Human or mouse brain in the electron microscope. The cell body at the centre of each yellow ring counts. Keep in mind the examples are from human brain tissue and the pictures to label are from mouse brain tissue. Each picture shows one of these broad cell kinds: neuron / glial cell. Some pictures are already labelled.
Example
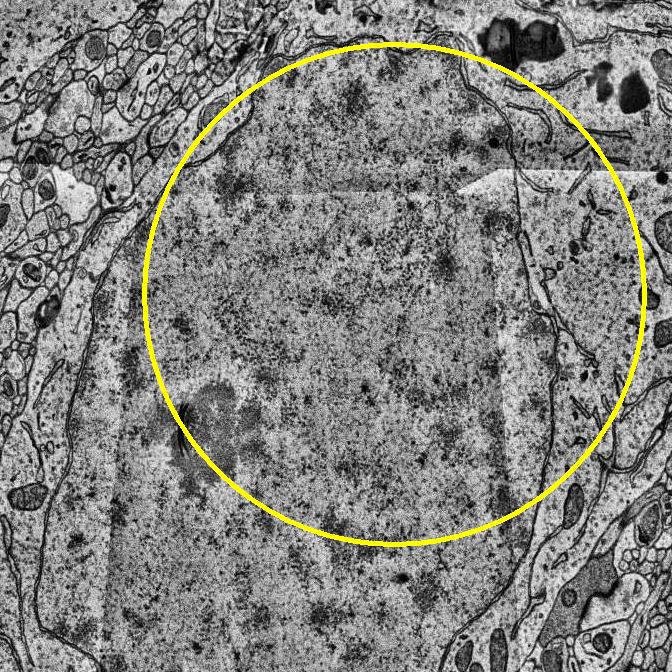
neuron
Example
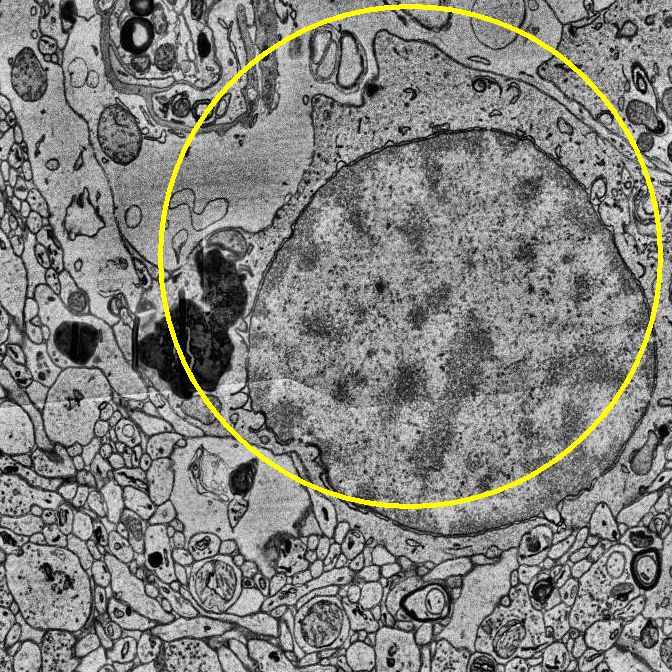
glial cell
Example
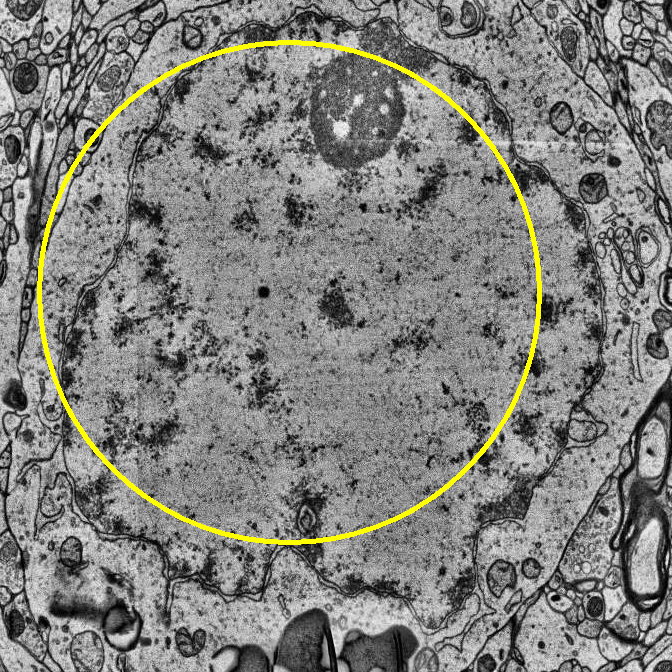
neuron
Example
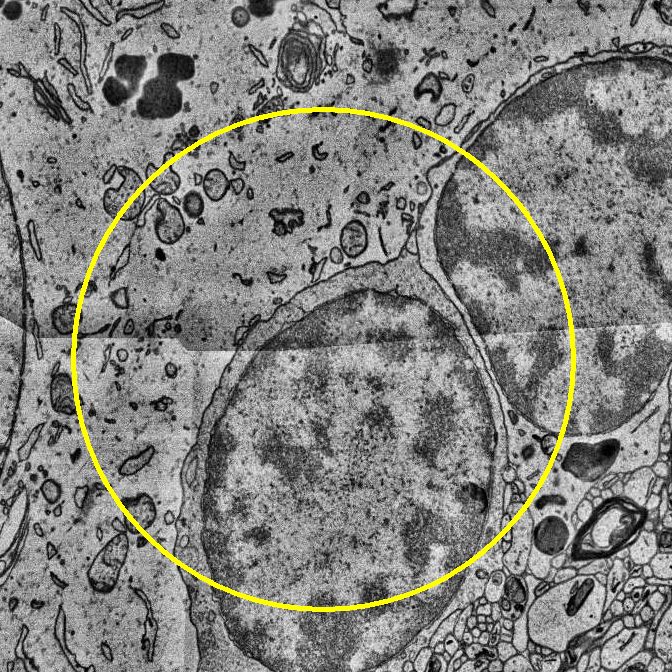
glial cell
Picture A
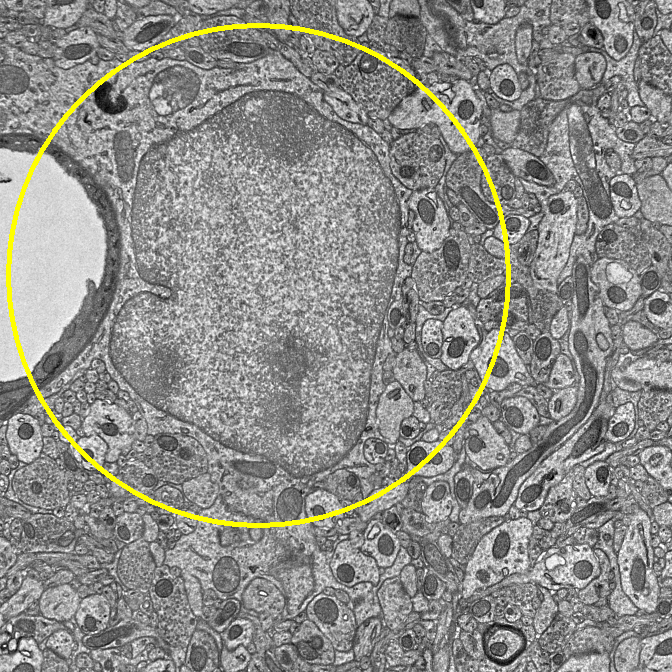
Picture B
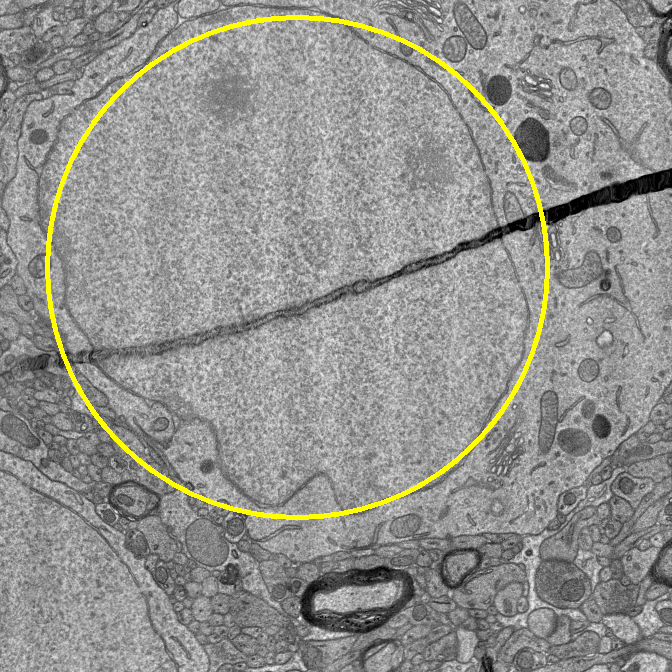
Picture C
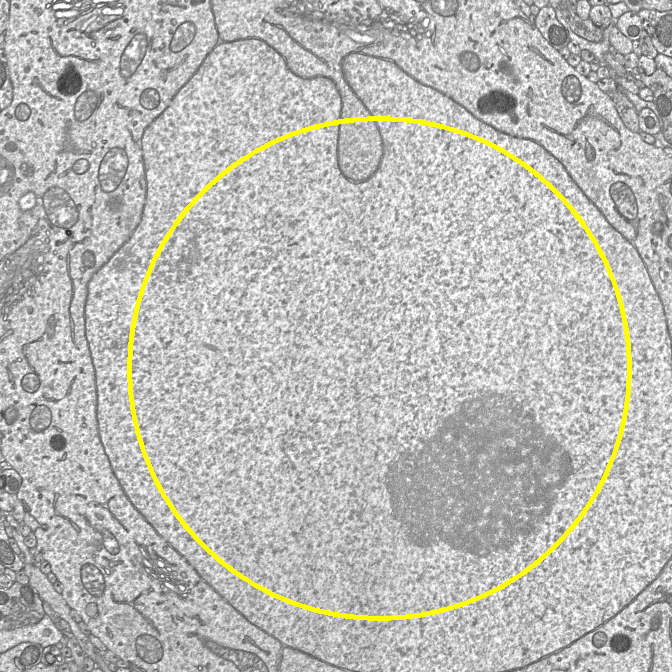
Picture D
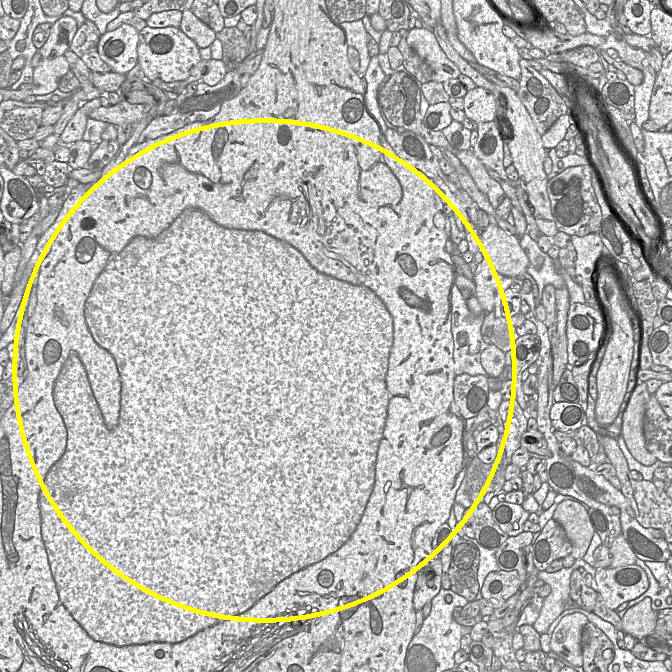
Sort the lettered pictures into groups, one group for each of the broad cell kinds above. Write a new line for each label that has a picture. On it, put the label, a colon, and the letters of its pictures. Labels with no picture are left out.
neuron: B, C, D
glial cell: A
